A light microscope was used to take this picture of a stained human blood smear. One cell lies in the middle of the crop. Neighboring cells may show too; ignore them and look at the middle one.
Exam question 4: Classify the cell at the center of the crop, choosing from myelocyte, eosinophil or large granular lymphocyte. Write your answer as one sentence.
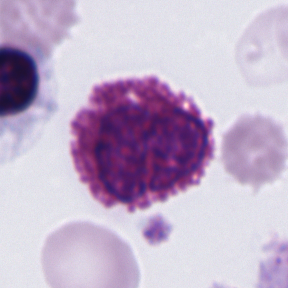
On this slide crop, the central cell is an eosinophil.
